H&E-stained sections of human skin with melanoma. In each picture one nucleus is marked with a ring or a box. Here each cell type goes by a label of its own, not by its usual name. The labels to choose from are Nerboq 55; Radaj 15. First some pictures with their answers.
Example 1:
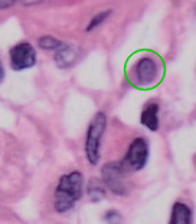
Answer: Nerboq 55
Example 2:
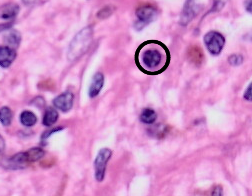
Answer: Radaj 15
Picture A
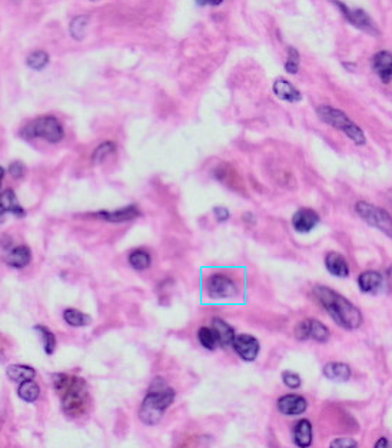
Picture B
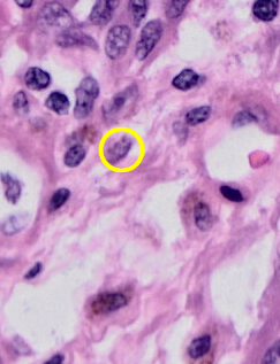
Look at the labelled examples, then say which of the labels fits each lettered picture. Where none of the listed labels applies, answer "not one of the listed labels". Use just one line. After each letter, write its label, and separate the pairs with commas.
A Nerboq 55, B Nerboq 55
